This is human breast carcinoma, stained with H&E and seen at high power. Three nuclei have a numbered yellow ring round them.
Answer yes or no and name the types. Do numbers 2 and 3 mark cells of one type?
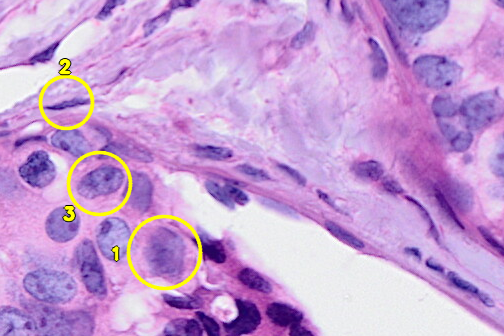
No, cell 2 is a fibroblast and cell 3, for its part, is a carcinoma cell.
